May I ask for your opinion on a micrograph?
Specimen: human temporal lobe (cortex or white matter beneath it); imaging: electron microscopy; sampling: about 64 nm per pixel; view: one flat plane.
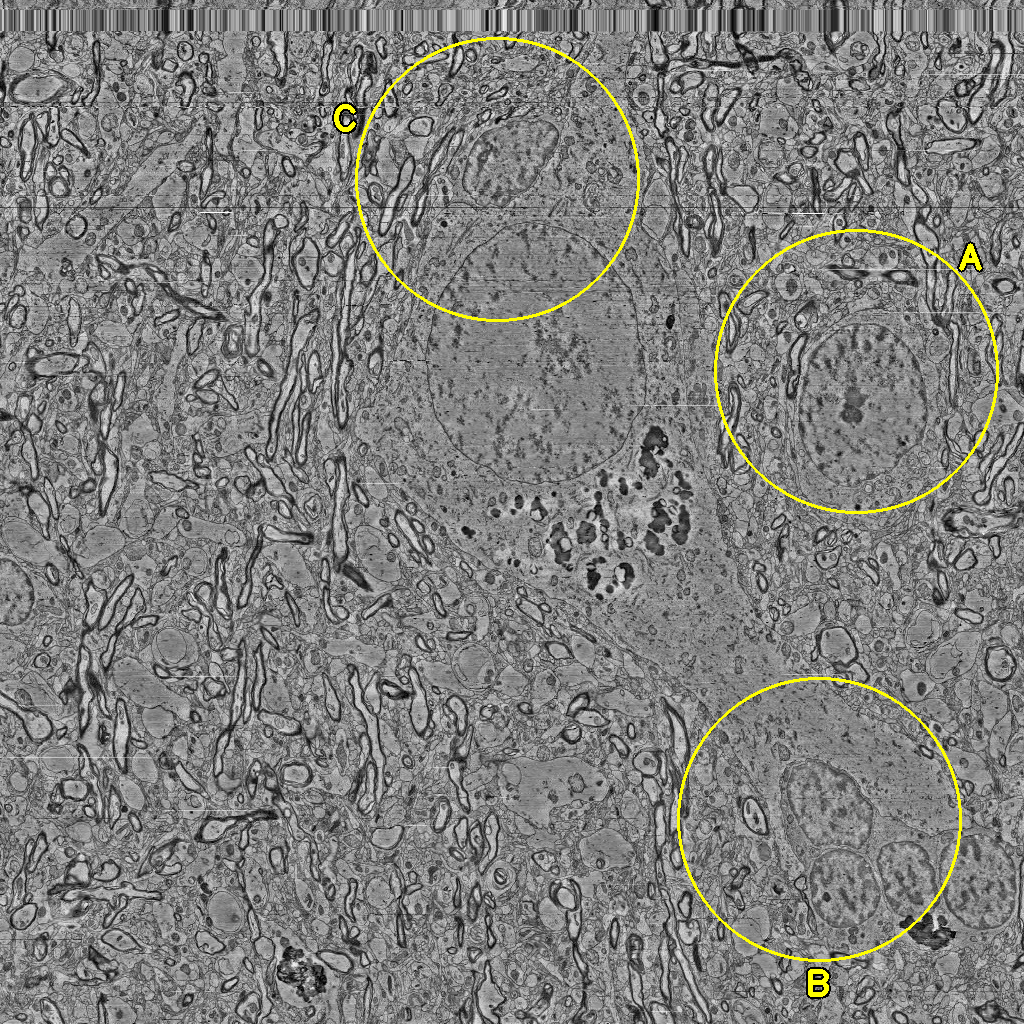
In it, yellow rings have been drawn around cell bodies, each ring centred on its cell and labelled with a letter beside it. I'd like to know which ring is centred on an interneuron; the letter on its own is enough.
A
